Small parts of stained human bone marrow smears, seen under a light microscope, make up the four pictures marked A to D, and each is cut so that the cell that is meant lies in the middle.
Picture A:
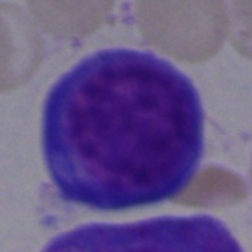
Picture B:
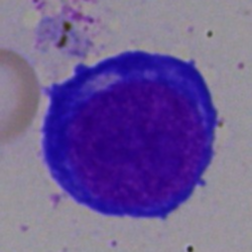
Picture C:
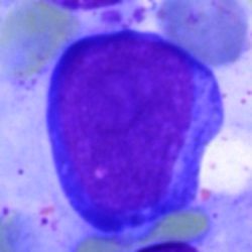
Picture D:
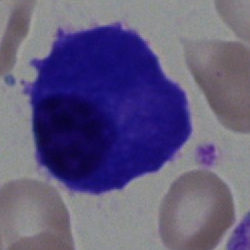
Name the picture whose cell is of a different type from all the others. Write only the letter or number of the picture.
D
